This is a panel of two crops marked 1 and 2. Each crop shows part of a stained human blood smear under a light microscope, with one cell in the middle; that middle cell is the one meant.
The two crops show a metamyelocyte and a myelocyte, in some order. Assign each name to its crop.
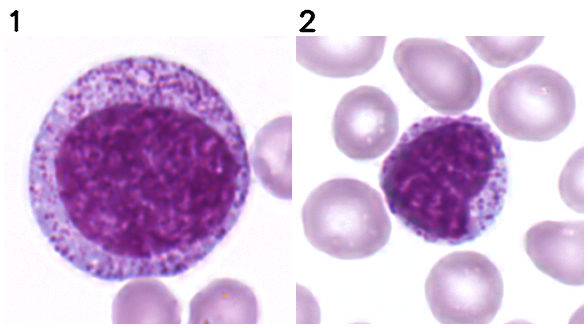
1: myelocyte
2: metamyelocyte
